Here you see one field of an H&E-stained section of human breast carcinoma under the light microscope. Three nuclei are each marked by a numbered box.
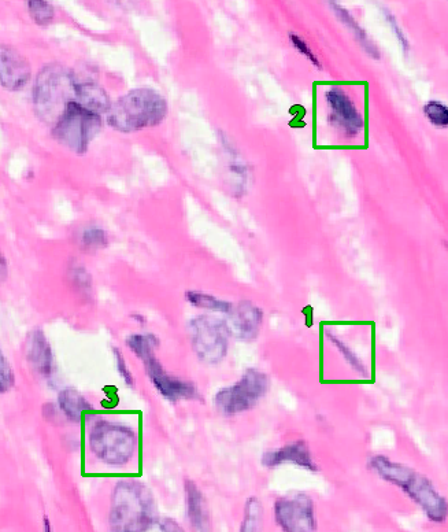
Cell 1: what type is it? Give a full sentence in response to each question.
The one numbered 1 among the marked cells is a fibroblast.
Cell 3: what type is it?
Here, the cell given the number 3 is a carcinoma cell.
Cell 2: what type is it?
The cell whose nucleus carries the number 2 is a lymphocyte.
